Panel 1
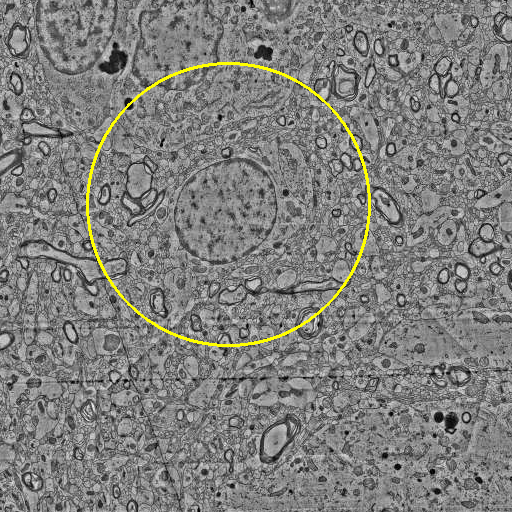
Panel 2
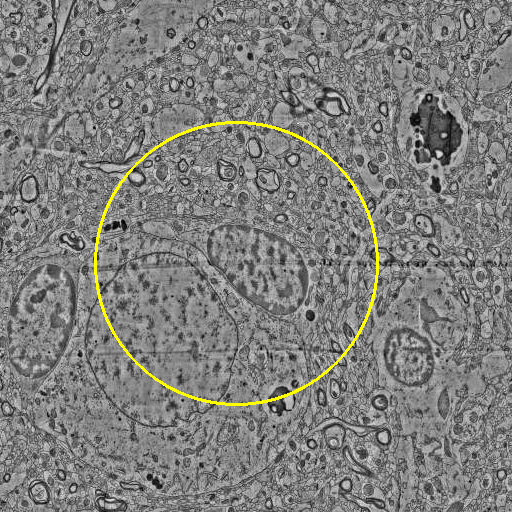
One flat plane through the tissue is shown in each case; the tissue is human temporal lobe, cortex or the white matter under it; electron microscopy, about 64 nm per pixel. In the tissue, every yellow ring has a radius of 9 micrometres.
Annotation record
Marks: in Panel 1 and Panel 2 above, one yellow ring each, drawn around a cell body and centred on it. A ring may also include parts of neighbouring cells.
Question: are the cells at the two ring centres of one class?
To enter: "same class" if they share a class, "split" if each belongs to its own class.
same class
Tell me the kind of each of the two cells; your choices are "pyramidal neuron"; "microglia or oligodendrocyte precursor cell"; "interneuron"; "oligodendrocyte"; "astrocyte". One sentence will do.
Each of the two rings surrounds a microglial cell or oligodendrocyte precursor cell.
